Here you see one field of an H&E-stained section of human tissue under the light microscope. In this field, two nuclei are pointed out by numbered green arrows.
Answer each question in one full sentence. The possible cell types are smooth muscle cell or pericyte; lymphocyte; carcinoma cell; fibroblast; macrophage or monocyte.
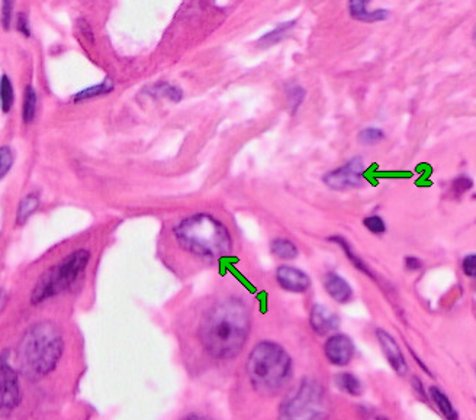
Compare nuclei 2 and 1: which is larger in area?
Of the two, number 1 is bigger and takes up about 2.5 times the area of number 2.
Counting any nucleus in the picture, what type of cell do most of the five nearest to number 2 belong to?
Lymphocytes account for more than half of the five nuclei nearest to number 2.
